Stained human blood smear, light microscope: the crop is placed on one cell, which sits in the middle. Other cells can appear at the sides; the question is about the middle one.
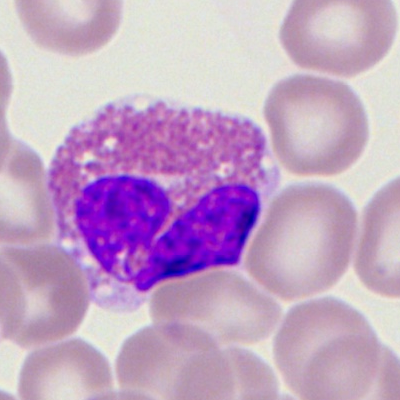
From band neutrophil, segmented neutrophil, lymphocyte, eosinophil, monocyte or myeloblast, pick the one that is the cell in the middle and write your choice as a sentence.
Whatever else lies nearby, the middle cell is an eosinophil.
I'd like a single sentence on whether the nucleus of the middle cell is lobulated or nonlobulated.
One defining trait here is a nucleus of two or more segments.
